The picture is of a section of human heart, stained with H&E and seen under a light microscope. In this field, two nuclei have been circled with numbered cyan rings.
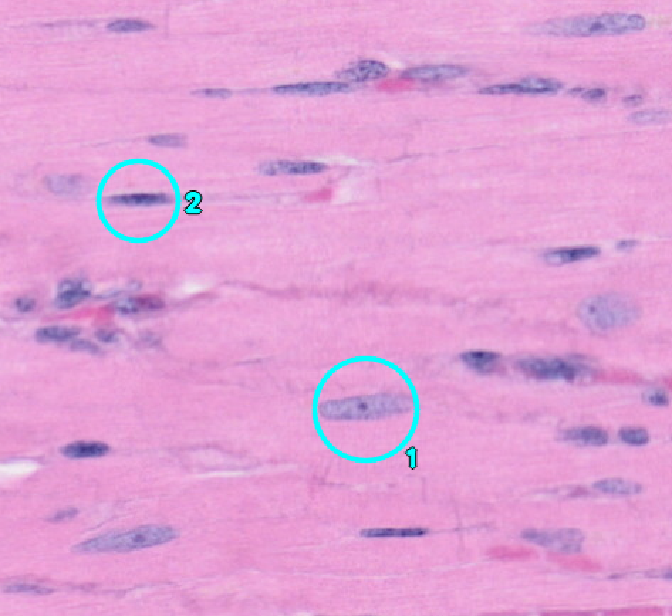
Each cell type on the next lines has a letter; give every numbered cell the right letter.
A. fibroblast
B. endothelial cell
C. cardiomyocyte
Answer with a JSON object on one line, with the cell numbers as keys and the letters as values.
{"1": "C", "2": "B"}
